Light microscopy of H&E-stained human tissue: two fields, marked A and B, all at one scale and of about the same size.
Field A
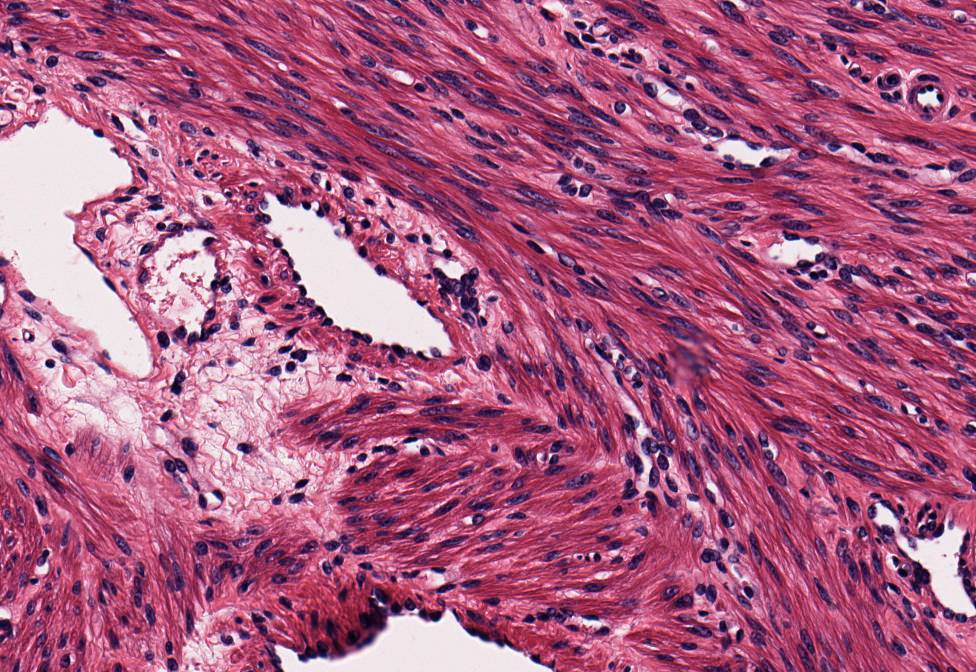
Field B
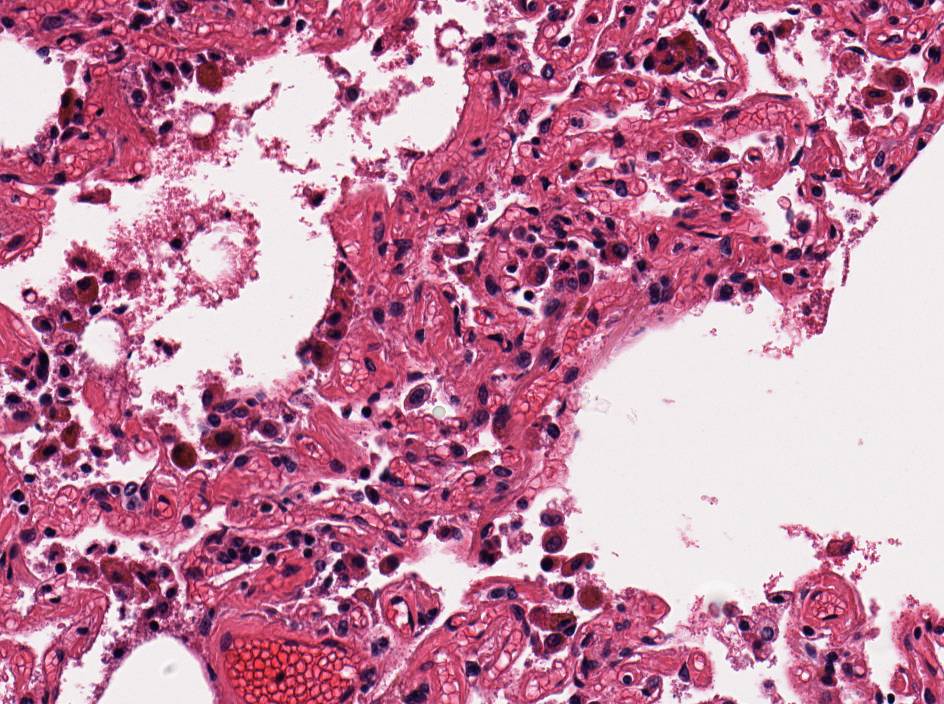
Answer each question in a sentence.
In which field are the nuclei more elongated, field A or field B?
It is field A whose nuclei are the more elongated.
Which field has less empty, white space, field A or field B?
Unstained space takes up less of field A than of field B.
